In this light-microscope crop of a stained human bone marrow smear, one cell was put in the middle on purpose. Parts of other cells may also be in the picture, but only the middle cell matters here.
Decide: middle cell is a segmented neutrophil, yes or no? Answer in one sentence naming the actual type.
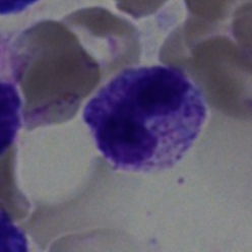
No, the central cell is not a segmented neutrophil, being instead a band neutrophil.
